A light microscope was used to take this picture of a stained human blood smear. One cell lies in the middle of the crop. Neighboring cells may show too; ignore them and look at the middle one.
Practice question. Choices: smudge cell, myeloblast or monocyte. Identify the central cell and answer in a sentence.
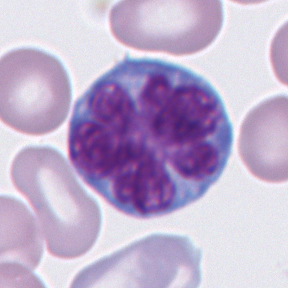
The middle of this crop holds a myeloblast.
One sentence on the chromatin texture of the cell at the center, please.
Heads up, the chromatin in this one is coarsely clumped.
